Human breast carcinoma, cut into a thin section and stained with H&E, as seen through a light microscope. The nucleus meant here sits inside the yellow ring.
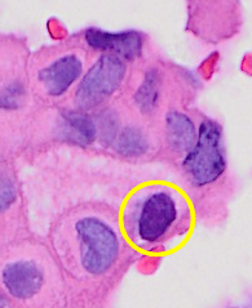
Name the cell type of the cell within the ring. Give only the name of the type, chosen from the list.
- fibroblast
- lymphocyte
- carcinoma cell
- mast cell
carcinoma cell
